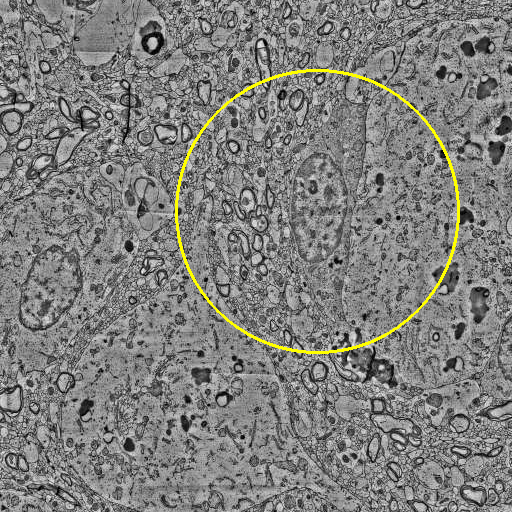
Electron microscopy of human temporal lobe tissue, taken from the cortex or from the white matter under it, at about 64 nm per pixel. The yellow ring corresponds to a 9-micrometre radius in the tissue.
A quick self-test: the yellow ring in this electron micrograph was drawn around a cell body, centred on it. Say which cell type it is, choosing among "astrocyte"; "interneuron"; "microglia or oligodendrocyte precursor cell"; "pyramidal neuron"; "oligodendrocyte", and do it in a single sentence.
The yellow-ringed cell is an oligodendrocyte.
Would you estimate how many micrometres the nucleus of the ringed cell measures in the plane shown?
In this plane the nucleus is roughly 7 by 4 micrometres, clearly longer than it is wide.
